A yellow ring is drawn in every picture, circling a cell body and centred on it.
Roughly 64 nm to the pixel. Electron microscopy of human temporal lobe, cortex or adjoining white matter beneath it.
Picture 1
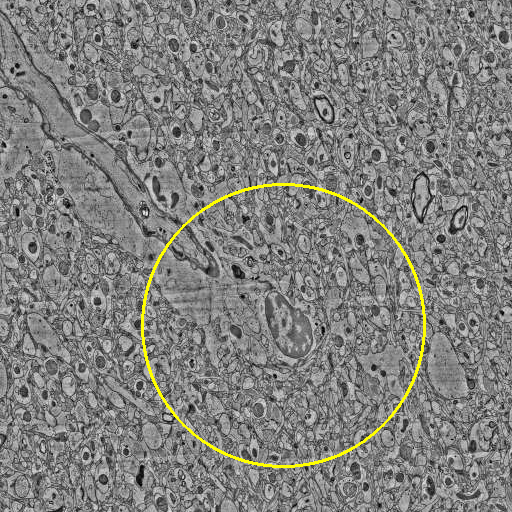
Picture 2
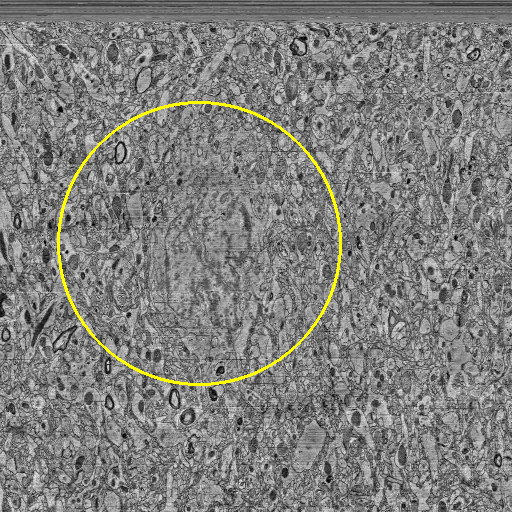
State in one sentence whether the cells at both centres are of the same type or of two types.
The cells at the two ring centres, one per picture, are of two types.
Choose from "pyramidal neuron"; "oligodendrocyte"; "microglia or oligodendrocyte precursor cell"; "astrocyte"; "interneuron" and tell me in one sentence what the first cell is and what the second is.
What the first ring is centred on is a microglial cell or oligodendrocyte precursor cell; what the second ring is centred on is an interneuron.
